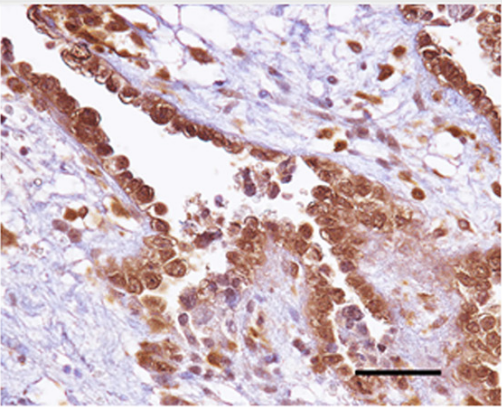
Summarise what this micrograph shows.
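The epithelial tumor cells have large, round to oval nuclei that are stained intensely dark brown, while their cytoplasm is paler, light brown. The stroma contains scattered spindle-shaped cells with small blue nuclei and a few brown-stained nuclei, with open, vacuolated areas in the upper part of the field.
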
